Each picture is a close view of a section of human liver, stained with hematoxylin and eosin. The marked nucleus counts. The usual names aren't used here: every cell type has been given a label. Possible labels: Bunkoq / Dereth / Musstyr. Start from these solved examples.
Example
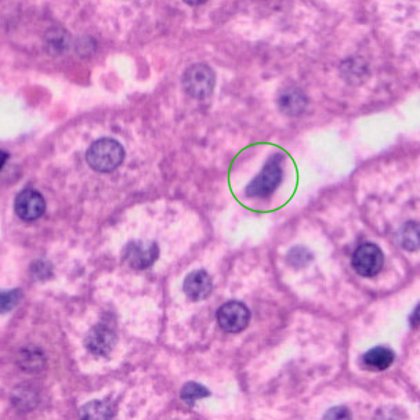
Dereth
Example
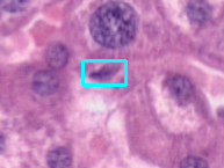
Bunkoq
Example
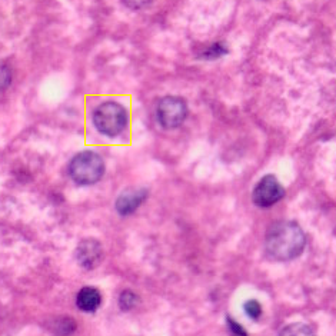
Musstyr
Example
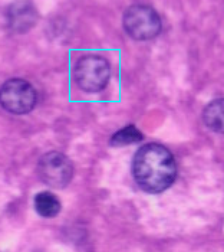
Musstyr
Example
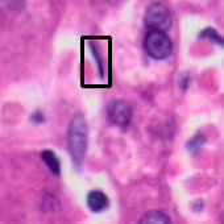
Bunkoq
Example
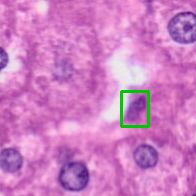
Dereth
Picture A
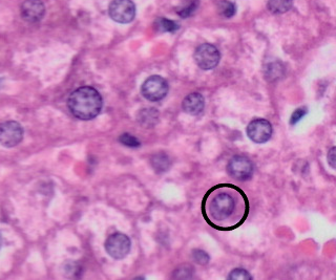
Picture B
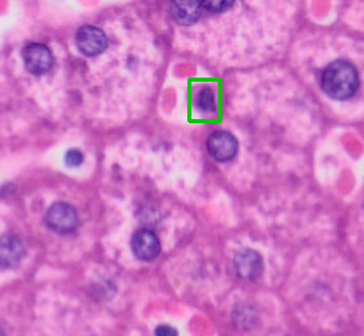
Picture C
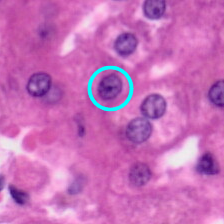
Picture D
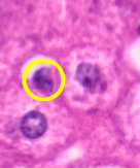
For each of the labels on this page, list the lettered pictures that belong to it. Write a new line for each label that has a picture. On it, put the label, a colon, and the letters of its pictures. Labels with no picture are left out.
Bunkoq: D
Dereth: B
Musstyr: A, C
